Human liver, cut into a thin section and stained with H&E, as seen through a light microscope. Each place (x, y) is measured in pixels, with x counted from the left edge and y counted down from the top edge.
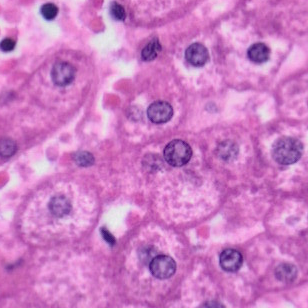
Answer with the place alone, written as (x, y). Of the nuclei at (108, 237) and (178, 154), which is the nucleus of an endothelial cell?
(108, 237)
